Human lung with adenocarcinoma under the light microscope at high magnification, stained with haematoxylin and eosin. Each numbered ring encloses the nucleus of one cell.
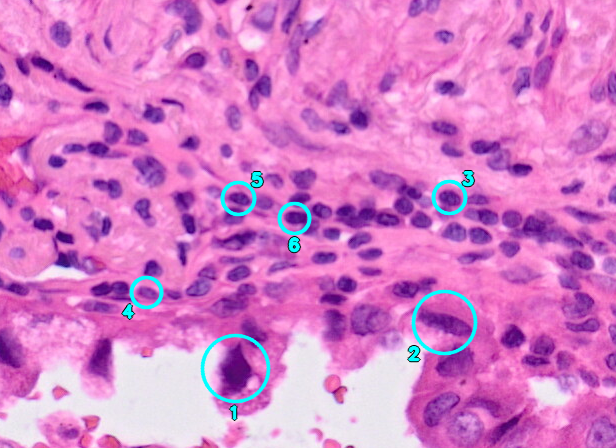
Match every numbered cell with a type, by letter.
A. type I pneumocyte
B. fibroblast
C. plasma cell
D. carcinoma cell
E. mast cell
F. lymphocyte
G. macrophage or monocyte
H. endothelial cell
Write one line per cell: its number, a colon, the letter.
1: D
2: D
3: F
4: F
5: F
6: F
